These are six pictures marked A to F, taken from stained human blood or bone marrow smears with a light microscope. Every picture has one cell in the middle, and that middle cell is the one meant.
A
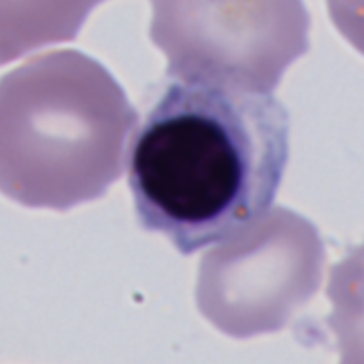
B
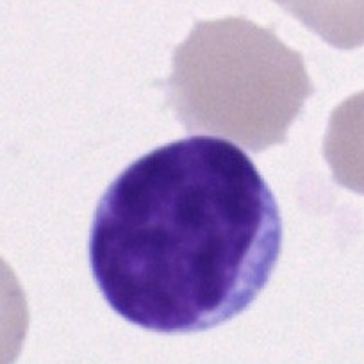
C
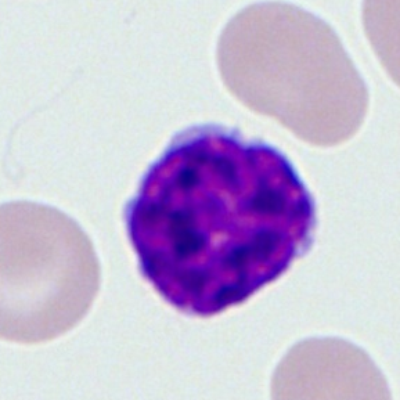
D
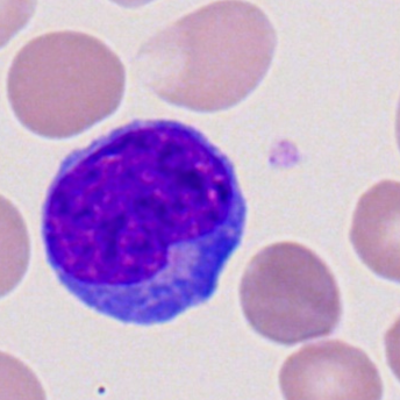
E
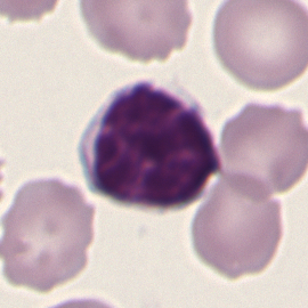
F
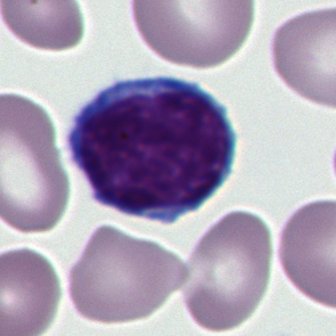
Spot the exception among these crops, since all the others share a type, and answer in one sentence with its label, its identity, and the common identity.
Unlike the rest, which all show lymphocytes, crop A contains an erythroblast.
